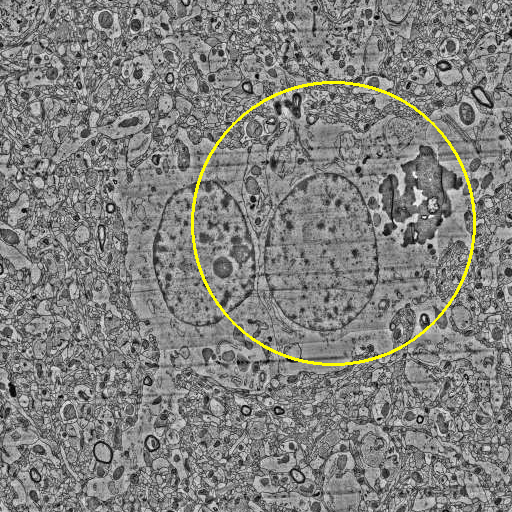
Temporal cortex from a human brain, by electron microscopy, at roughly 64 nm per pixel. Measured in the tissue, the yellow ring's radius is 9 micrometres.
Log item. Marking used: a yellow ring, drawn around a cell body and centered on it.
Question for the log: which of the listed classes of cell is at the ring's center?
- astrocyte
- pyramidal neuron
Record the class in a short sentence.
At the center of the ring lies an astrocyte.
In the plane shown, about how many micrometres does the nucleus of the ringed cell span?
The nucleus appears roughly 10 by 7 micrometres in this plane.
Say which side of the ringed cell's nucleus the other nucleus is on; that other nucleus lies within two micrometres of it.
The other nucleus sits to the left of it.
